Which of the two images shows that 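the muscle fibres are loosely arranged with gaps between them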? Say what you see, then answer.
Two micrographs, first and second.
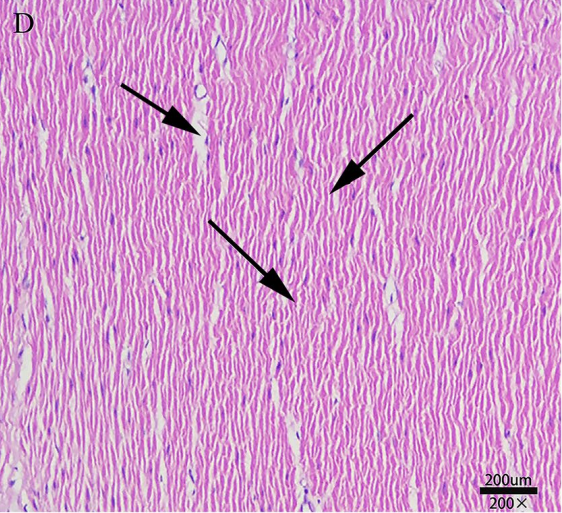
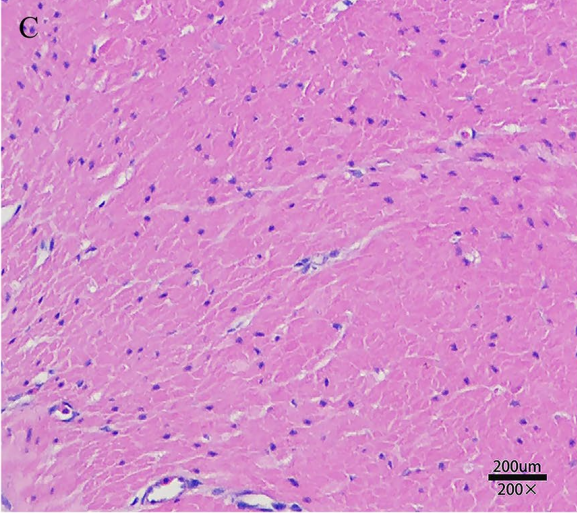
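First image: wavy parallel fibres separated by many thin white clefts. Second image: fibres lie compact in a continuous pink sheet with few gaps.
Answer: the first image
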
